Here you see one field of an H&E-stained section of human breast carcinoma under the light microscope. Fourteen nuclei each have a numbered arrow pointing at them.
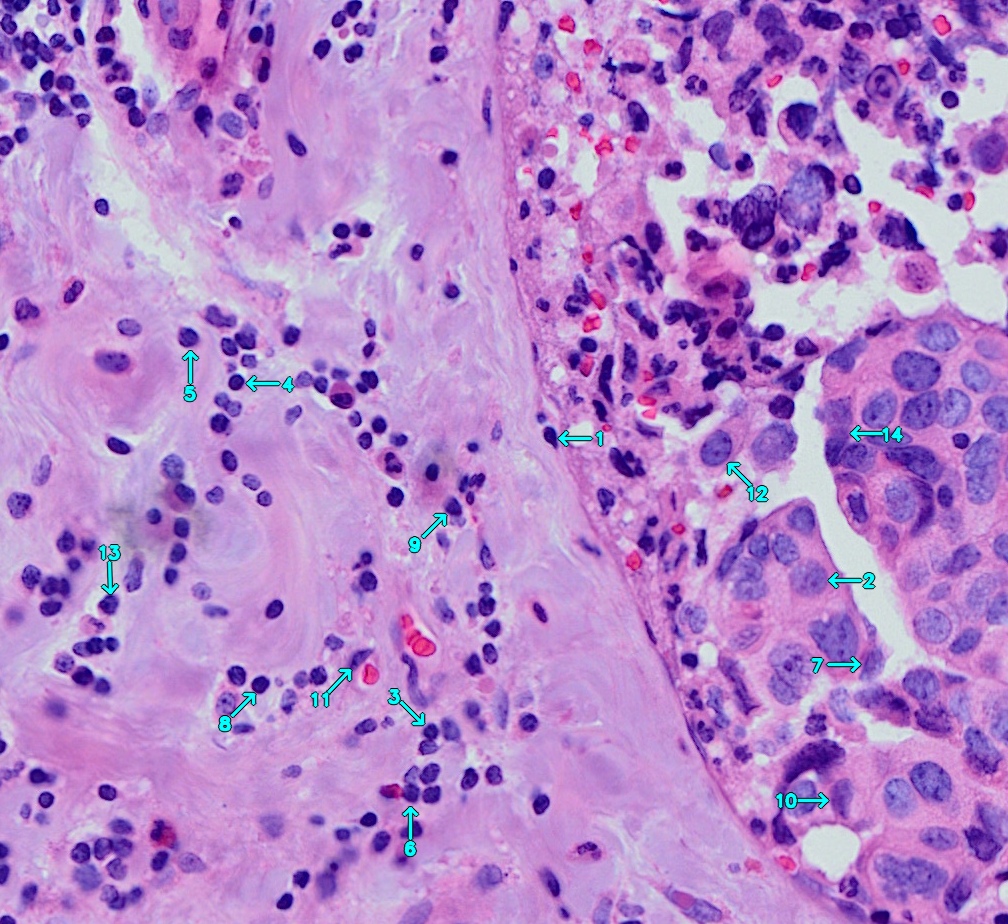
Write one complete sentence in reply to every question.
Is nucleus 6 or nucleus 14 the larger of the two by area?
Nucleus 14 covers more area, about 4 times as much as nucleus 6.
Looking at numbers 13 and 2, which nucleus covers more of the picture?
Number 2 is larger; its area is about 2.5 times that of number 13.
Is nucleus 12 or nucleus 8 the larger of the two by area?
Nucleus 12 is the larger one, covering about 2.5 times the area of nucleus 8.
